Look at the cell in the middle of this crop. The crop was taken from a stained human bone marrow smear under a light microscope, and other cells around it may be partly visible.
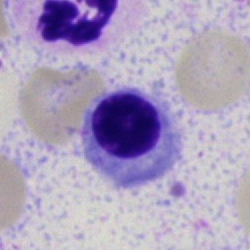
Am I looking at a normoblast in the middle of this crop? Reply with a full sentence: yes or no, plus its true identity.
Yes, the cell found in the middle is a normoblast.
